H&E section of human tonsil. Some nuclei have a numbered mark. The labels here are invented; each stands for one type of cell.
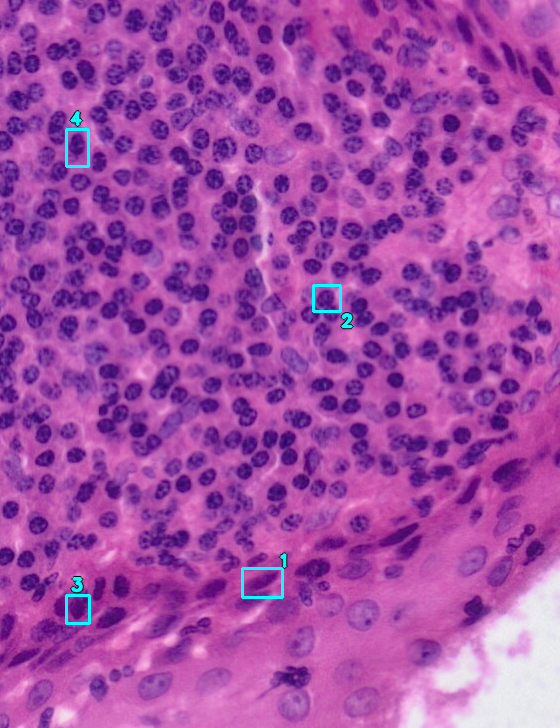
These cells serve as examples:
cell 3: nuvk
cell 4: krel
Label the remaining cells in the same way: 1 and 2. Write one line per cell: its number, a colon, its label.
1: nuvk
2: krel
